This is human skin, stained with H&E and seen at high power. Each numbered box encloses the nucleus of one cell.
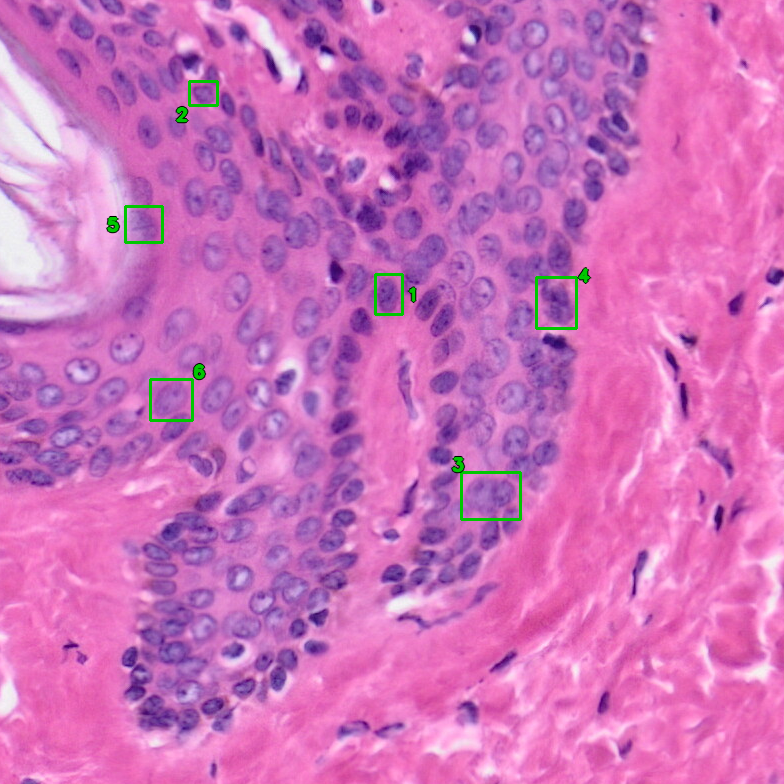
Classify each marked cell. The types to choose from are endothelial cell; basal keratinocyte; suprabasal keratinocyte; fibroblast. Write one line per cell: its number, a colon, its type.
1: basal keratinocyte
2: basal keratinocyte
3: basal keratinocyte
4: basal keratinocyte
5: suprabasal keratinocyte
6: suprabasal keratinocyte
